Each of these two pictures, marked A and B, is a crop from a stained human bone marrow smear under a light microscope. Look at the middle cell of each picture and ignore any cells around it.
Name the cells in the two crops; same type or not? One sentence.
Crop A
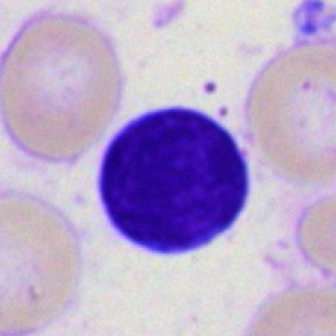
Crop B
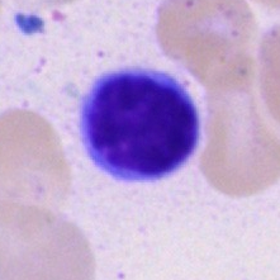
Yes, lymphocytes are at the centre in both crops.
